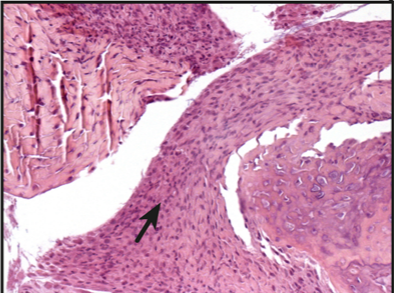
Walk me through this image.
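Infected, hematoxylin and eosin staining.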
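This shows a joint cleft in which the synovial lining has thickened. A white, empty cleft runs across the field. Along its edge the lining, marked by the arrow, is no longer a thin layer but a thick band many cells deep, crowded with purple nuclei. At the lower right is cartilage, paler pink, with rounded cells sitting in small spaces. At the upper left lies dense pink fibrous tissue with elongated nuclei and cracks from sectioning. The crowded lining between these structures shows synovial proliferation.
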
